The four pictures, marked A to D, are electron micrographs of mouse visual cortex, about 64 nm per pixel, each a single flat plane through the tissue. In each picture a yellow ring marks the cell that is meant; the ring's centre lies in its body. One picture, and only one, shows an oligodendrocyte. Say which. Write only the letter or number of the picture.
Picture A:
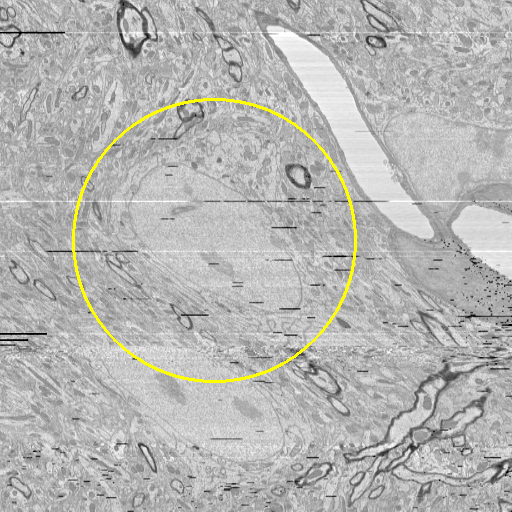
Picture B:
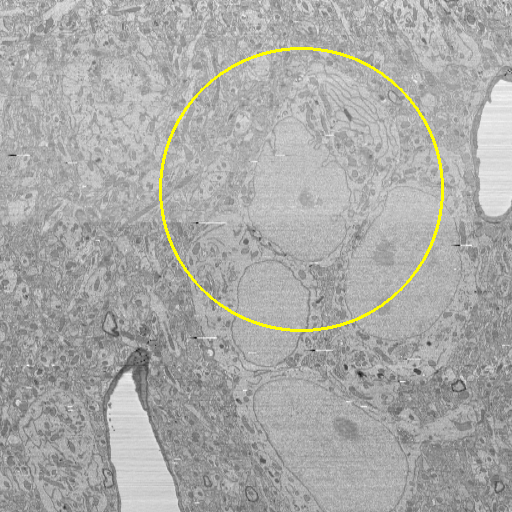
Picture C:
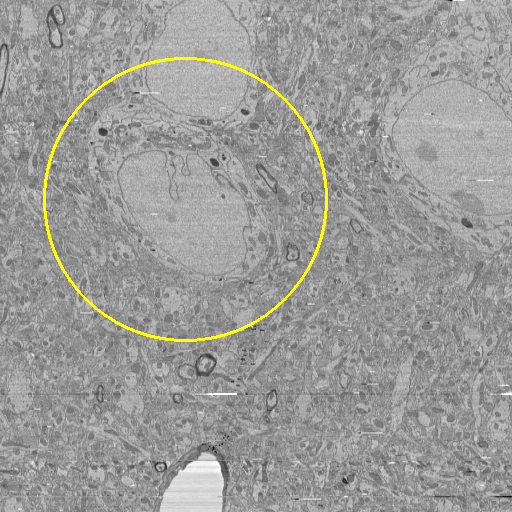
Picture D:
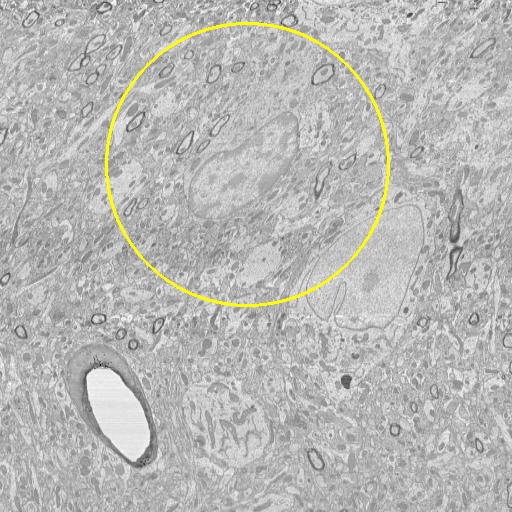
D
